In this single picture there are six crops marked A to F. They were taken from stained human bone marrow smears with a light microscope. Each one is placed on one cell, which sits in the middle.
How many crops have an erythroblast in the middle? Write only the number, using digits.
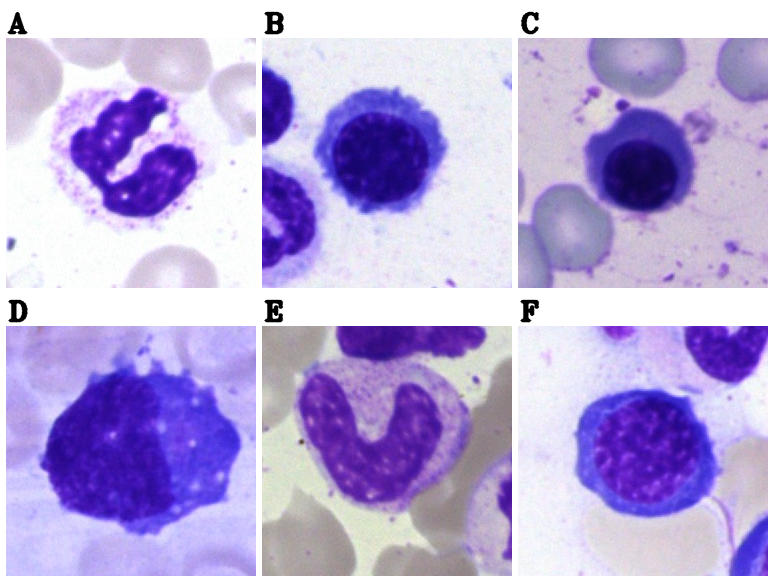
3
